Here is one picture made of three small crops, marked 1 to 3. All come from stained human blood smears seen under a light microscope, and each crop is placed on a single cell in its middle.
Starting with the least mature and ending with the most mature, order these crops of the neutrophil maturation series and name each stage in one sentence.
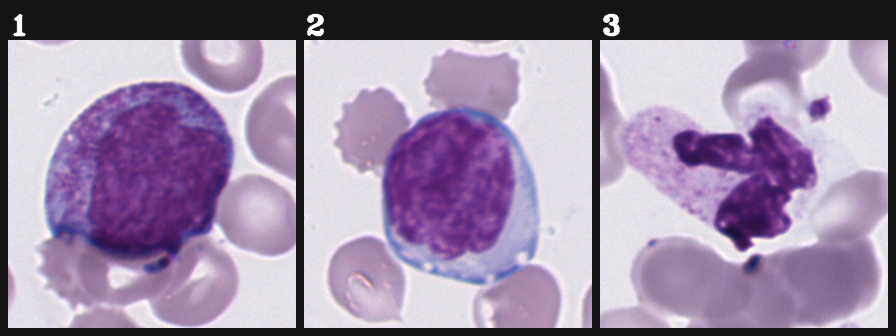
Listed in order of increasing maturity, the crops are crop 2 (a myeloblast), crop 1 (a promyelocyte) and crop 3 (a segmented neutrophil).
